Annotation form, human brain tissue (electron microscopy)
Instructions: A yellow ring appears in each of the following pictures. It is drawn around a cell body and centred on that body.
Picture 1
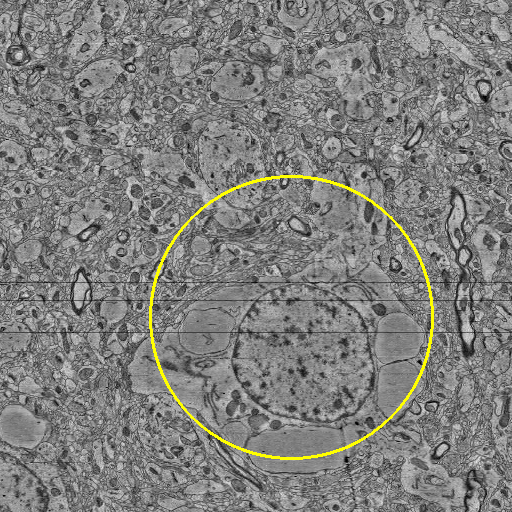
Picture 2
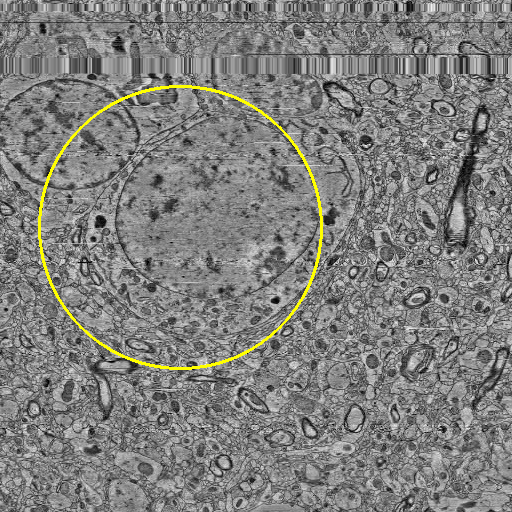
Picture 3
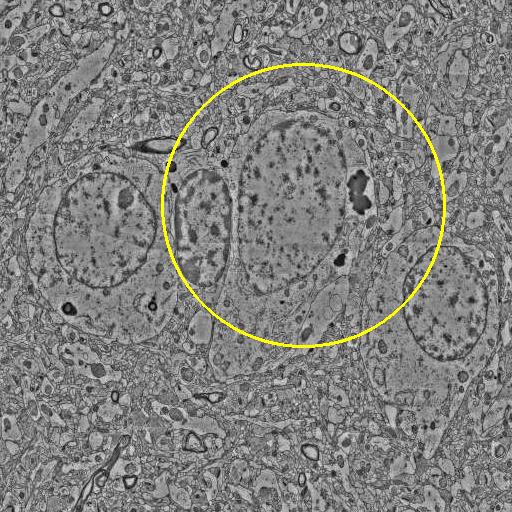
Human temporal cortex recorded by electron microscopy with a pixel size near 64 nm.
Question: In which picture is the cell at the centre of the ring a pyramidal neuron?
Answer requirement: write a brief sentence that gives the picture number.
The cell at the centre of the ring in Picture 2 is the one asked for.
